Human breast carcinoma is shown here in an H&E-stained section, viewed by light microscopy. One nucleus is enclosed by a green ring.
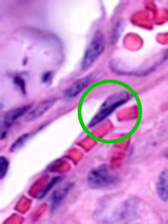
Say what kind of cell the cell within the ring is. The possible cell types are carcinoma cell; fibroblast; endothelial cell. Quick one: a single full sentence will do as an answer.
For the purposes of cell typing, the cell within the ring is categorized as an endothelial cell.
